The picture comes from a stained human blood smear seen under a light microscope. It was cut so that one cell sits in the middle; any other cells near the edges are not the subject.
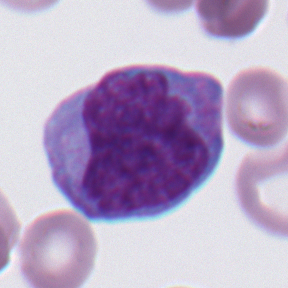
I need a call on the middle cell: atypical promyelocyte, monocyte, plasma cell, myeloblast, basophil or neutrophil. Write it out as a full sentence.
The cell marked by its central position in the crop is an atypical promyelocyte.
